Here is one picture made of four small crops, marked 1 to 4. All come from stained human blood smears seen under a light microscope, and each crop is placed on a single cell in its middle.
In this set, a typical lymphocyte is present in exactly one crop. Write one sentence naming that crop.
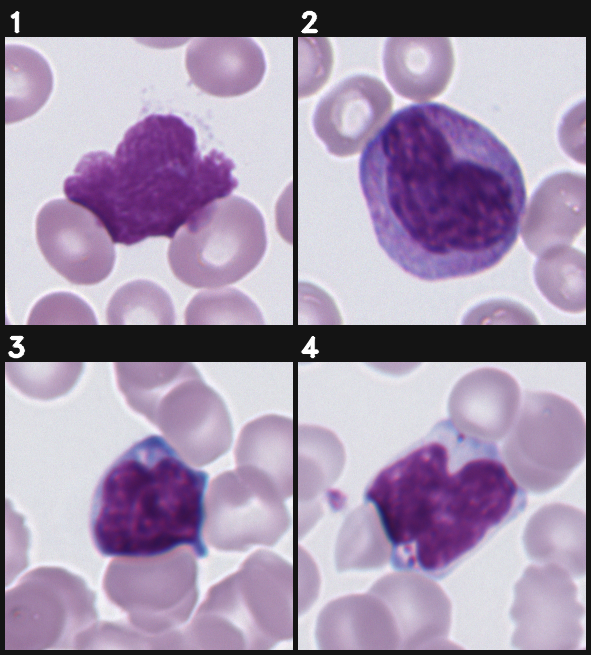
Among the crops, only crop 3 contains a typical lymphocyte.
